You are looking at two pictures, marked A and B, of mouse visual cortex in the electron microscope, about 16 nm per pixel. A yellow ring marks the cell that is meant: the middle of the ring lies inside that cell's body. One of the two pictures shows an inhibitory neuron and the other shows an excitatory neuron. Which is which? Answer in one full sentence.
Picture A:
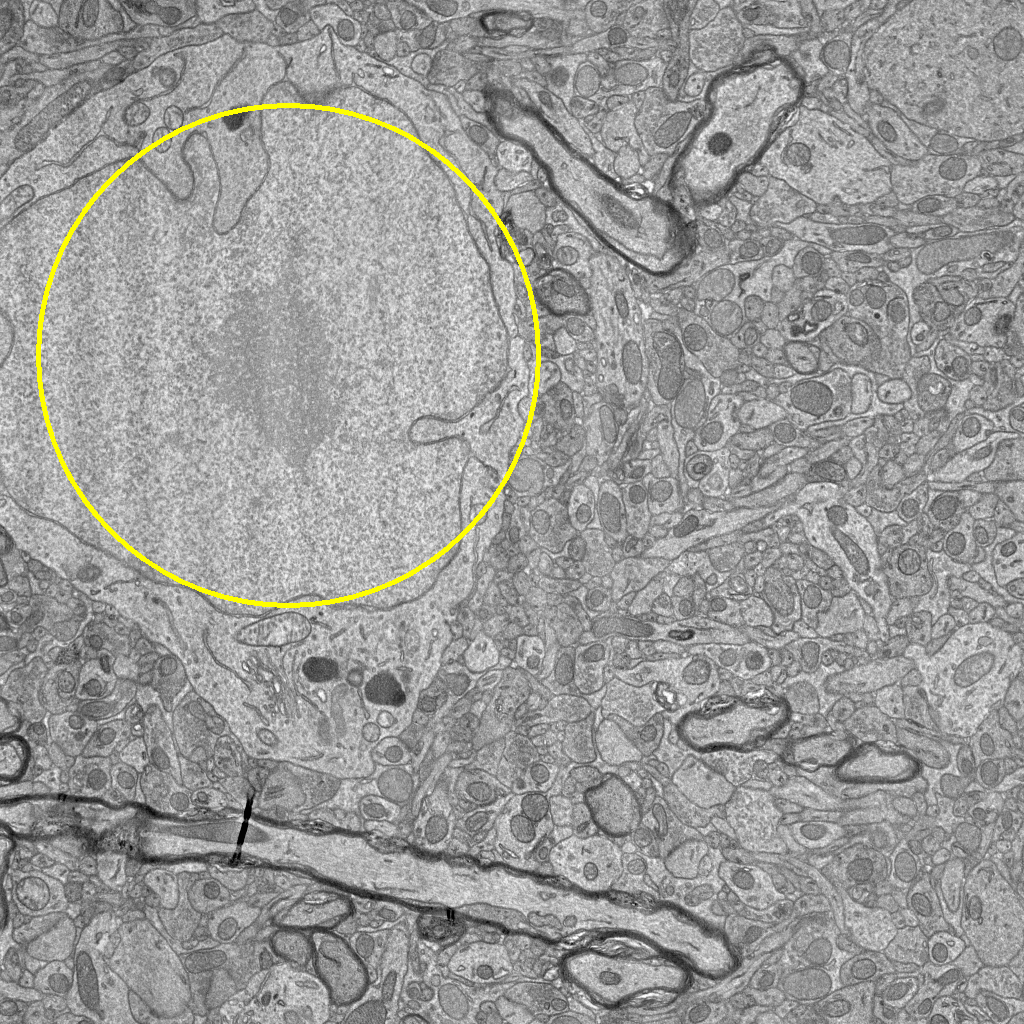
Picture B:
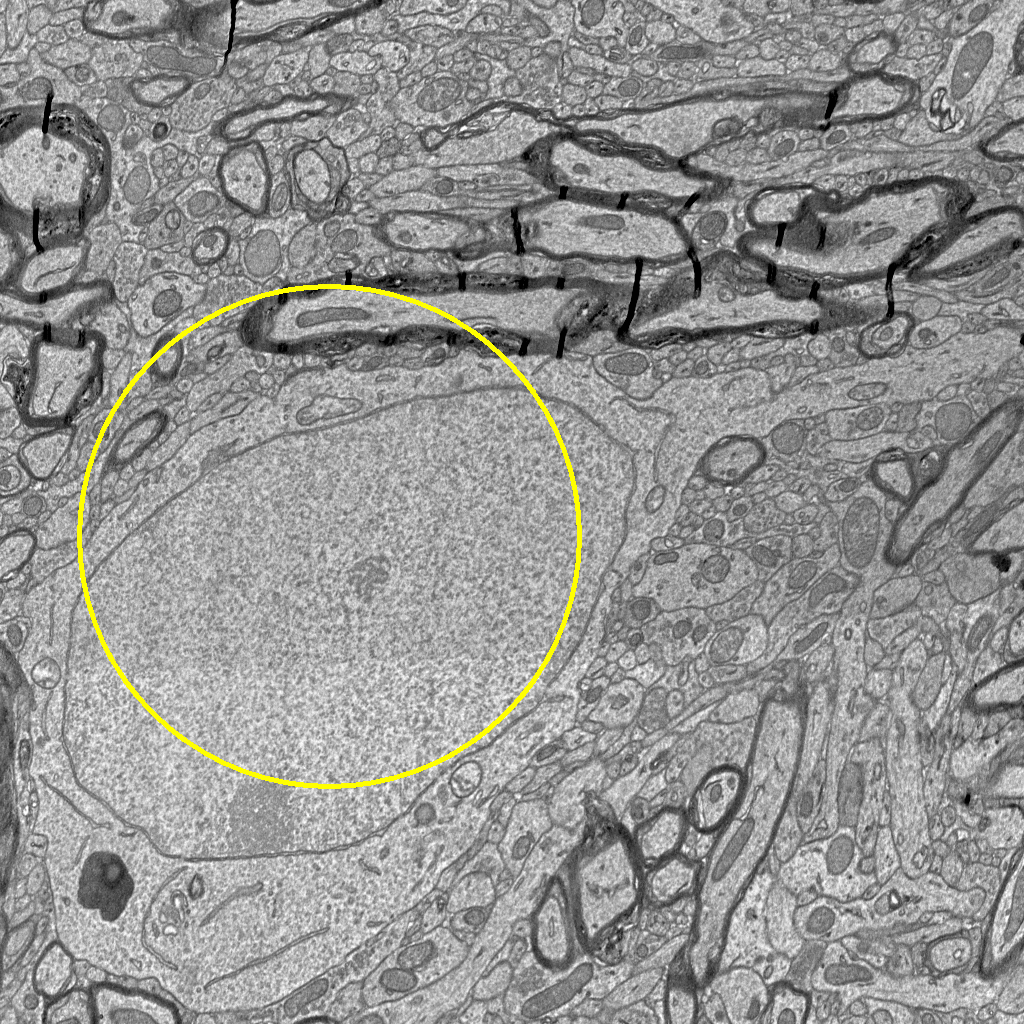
The cell in picture A is an inhibitory neuron, and the one in picture B is an excitatory neuron.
